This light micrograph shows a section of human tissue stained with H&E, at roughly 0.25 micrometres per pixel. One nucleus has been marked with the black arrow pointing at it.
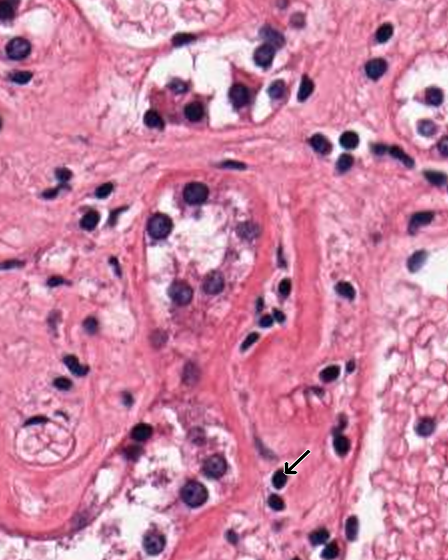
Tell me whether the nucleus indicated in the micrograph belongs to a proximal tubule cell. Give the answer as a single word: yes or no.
no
